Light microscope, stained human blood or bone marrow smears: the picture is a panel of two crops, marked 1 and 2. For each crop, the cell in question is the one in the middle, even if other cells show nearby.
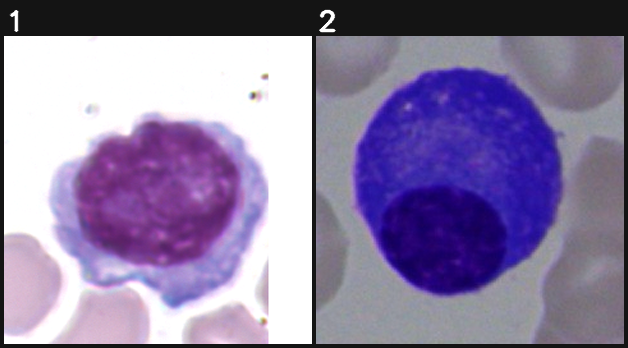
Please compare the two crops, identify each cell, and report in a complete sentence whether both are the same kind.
Yes, the centred cells are plasma cells in both crops.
